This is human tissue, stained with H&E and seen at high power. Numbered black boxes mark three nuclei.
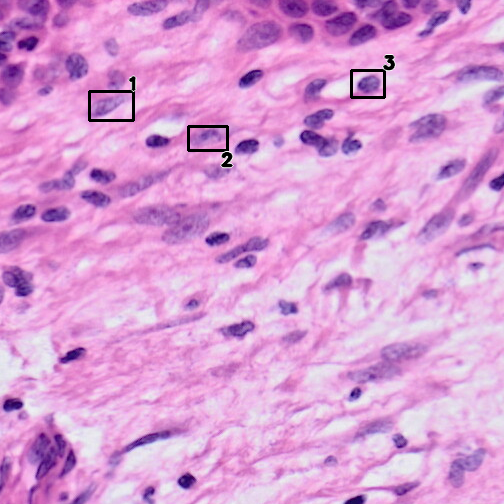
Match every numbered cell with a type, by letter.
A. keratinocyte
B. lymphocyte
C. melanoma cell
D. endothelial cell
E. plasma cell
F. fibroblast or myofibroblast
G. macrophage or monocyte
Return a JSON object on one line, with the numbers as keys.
{"1": "F", "2": "F", "3": "B"}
